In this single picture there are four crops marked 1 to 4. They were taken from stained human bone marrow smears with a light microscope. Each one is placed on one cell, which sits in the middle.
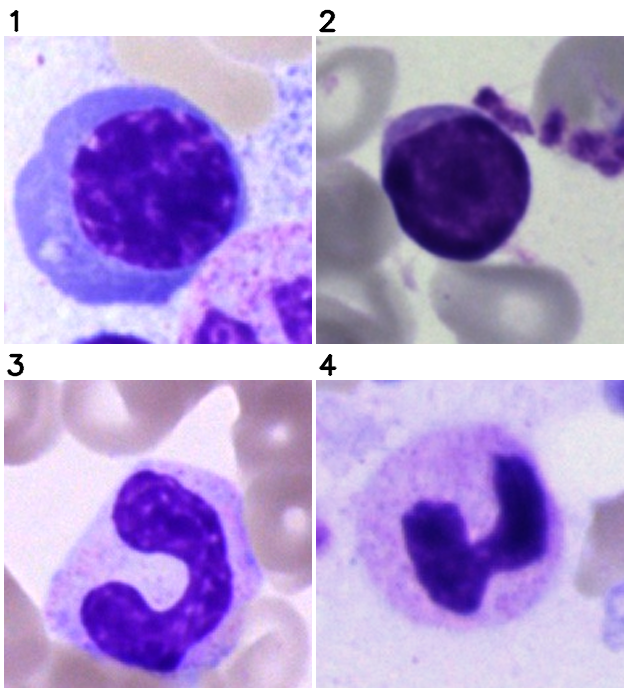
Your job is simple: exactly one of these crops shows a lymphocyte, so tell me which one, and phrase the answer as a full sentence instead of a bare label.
That would be crop 2; it shows a lymphocyte.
